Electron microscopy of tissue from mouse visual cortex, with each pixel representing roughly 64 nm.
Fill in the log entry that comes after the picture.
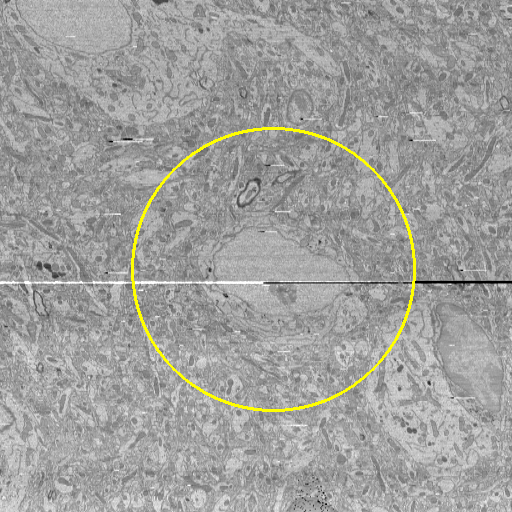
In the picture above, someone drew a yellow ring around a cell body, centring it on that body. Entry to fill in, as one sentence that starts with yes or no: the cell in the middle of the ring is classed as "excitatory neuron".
No, the cell in the ring's centre in this image is of a different kind.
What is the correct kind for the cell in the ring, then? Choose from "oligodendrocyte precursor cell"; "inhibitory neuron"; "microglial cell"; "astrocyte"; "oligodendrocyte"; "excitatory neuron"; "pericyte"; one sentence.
Instead, what sits at the centre of the ring is an inhibitory neuron.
